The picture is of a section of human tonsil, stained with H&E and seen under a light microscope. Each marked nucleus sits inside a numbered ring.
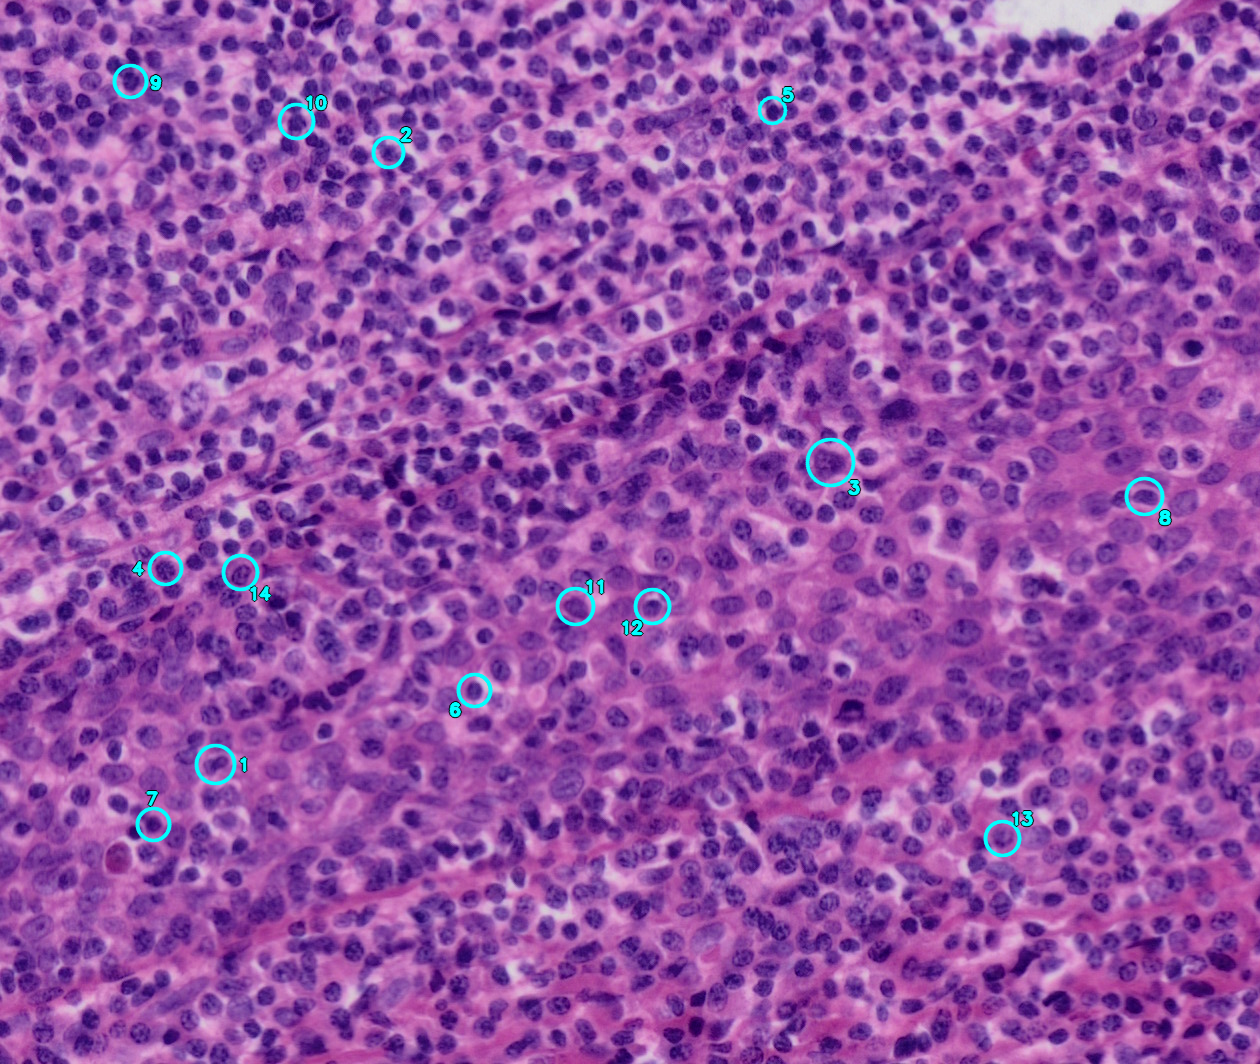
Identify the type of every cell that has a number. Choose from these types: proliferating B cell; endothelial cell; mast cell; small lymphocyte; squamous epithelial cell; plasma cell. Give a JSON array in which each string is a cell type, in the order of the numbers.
["squamous epithelial cell", "small lymphocyte", "squamous epithelial cell", "plasma cell", "small lymphocyte", "squamous epithelial cell", "squamous epithelial cell", "squamous epithelial cell", "small lymphocyte", "small lymphocyte", "squamous epithelial cell", "squamous epithelial cell", "plasma cell", "plasma cell"]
